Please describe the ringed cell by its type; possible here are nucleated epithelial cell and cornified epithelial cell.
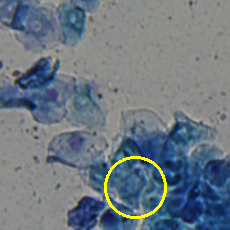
The yellow ring marks a cornified epithelial cell.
